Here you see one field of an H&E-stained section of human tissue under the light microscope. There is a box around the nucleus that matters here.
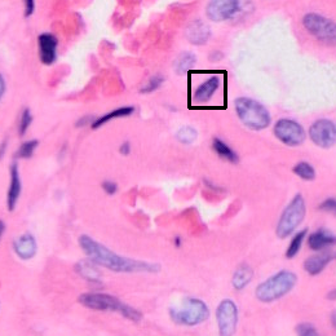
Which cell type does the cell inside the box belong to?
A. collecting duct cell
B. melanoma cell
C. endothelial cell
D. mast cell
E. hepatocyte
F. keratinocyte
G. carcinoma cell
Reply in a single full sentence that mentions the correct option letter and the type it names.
Option A is the correct one, since the cell inside the box is a collecting duct cell.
